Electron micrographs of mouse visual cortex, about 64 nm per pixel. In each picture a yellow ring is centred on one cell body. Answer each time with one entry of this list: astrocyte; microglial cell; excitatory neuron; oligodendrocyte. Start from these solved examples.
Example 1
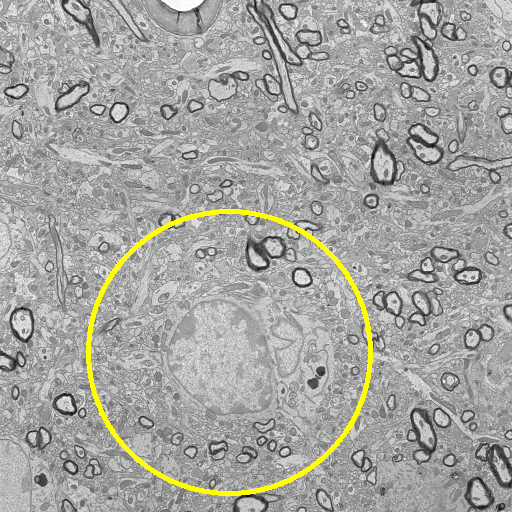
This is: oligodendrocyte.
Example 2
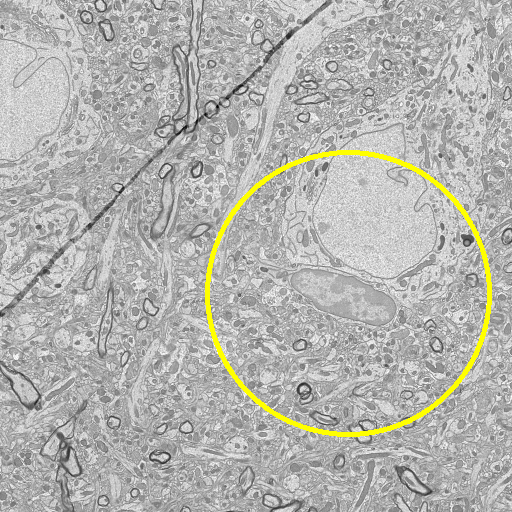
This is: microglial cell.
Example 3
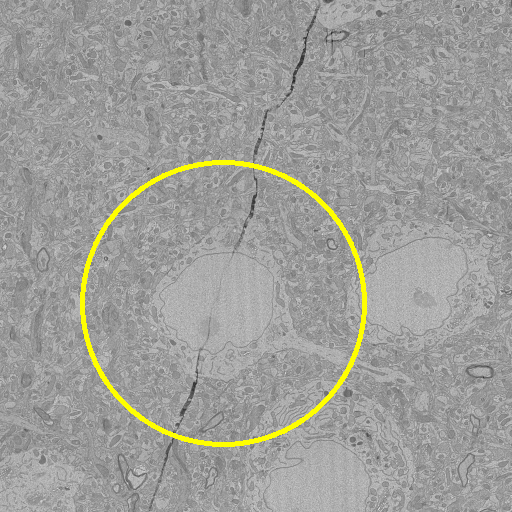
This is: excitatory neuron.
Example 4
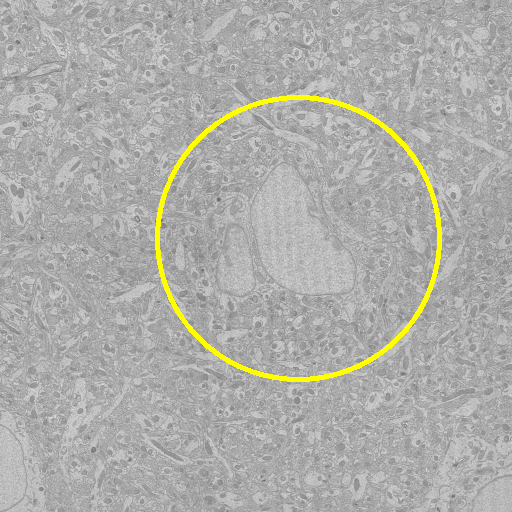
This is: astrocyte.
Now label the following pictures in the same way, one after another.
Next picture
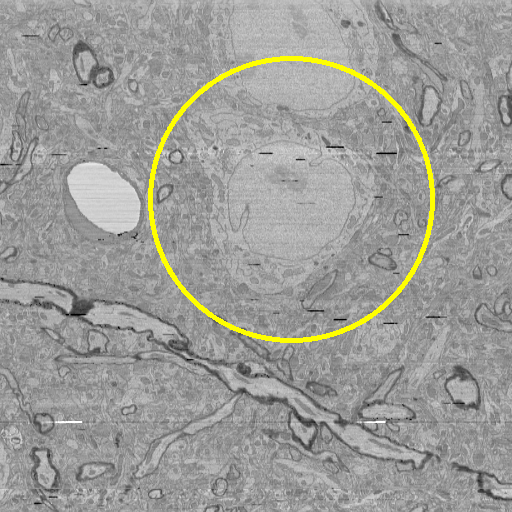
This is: excitatory neuron.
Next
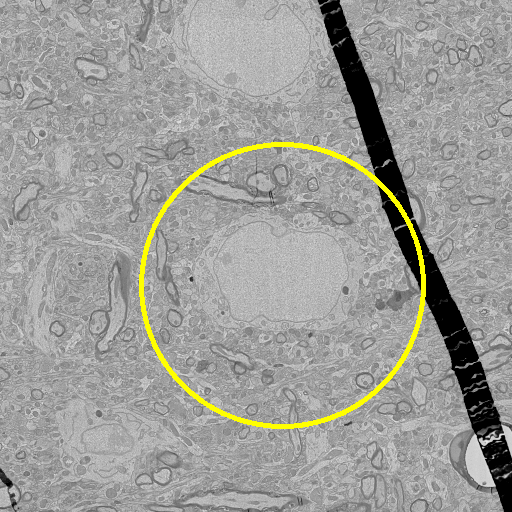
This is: excitatory neuron.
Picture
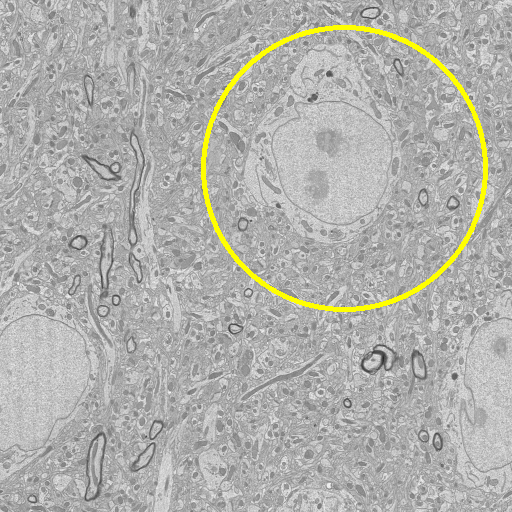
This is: excitatory neuron.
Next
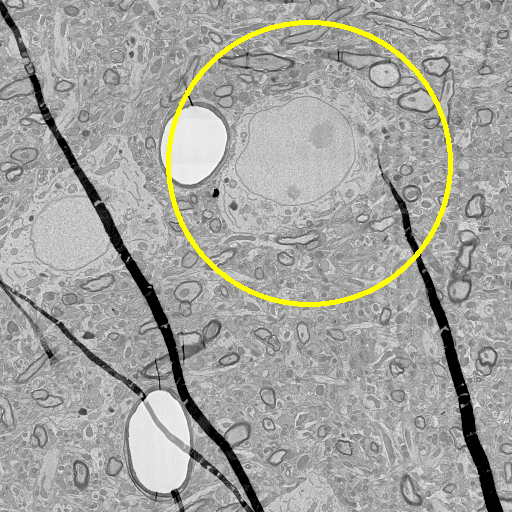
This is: excitatory neuron.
